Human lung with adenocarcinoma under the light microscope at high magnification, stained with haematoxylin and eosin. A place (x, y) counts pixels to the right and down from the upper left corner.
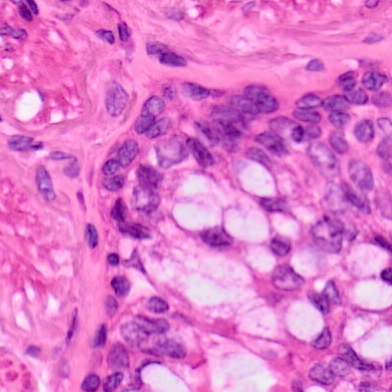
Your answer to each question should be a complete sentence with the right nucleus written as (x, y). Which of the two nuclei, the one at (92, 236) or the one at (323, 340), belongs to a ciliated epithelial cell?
The nucleus at (323, 340) is the one that belongs to a ciliated epithelial cell.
